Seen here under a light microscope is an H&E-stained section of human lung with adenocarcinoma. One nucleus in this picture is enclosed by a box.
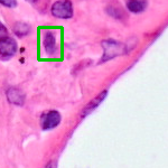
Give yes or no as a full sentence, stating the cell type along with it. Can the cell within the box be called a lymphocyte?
No, it is a plasma cell, not a lymphocyte, that the cell within the box represents.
